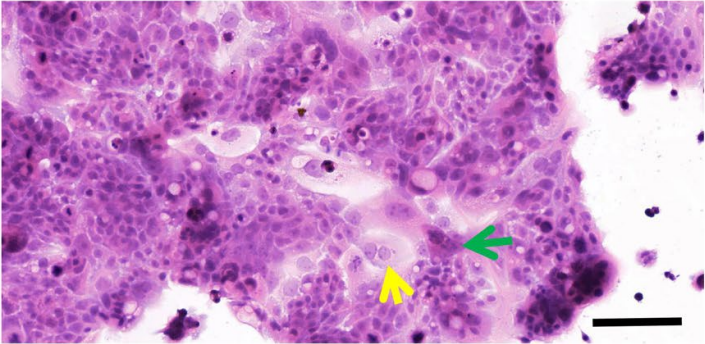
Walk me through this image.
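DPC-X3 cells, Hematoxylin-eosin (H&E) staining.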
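Cultured tumor cells lie in a crowded sheet, mostly polygonal, with enlarged purple nuclei, visible nucleoli and a scant rim of pale pink cytoplasm. Scattered larger cells and some very dark, clumped cells are present among them.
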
